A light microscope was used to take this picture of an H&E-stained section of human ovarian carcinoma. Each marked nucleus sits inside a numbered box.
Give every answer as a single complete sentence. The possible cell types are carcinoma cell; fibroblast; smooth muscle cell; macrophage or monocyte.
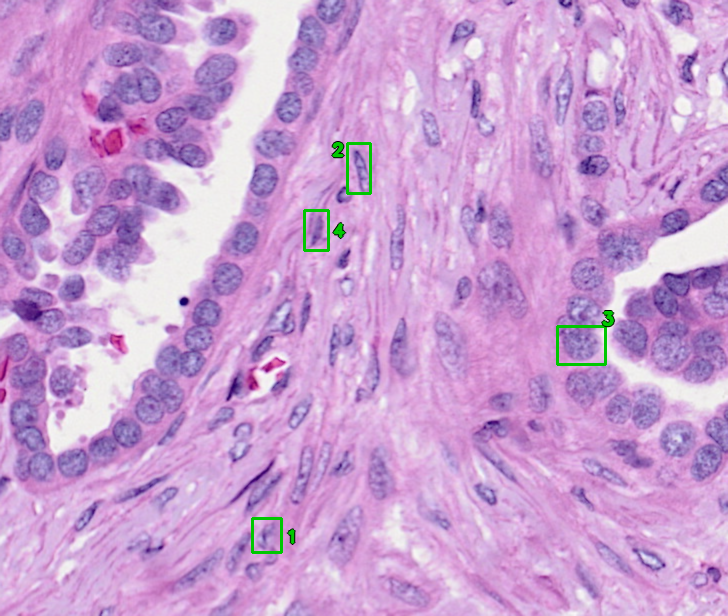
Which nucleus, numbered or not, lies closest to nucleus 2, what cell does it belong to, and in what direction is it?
The nearest one is a macrophage or monocyte, found below and to the left of nucleus 2.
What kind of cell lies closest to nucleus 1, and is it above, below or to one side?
The nearest one is a fibroblast, found below nucleus 1.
